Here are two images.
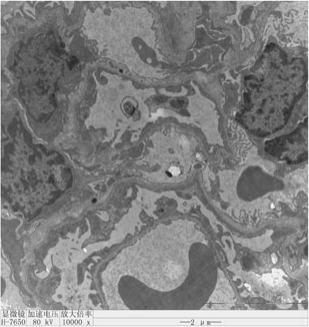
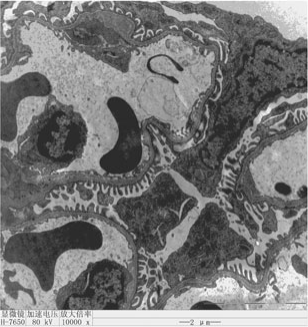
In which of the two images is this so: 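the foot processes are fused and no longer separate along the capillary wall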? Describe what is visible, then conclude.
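The first image. Second image: the capillary walls carry a regular comb-like row of separate small foot processes. First image: the capillary walls are covered by broad, flattened cytoplasm with few separate processes.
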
